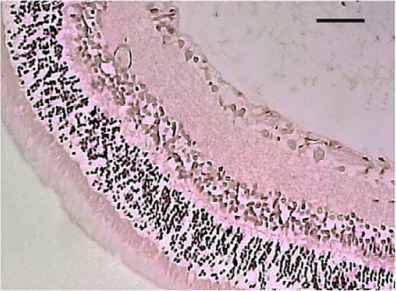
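This is a cross-section of retina stained with haematoxylin and eosin, its layers arranged in parallel curved bands. Along the outer side runs a pink band, next to a thick layer of small, dark, tightly packed nuclei that appear almost black. A thin pale band separates it from a narrower layer of dark nuclei. Inside this lies a wide, pink, finely textured band with few nuclei.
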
